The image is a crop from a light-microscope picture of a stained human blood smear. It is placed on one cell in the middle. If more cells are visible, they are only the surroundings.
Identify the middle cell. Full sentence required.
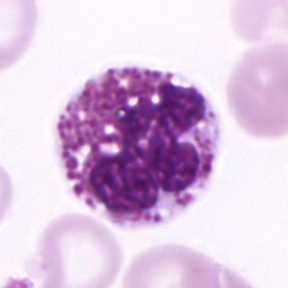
The cell at the middle of the crop is recognized as an eosinophil.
